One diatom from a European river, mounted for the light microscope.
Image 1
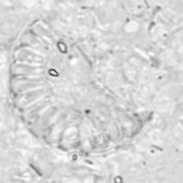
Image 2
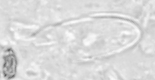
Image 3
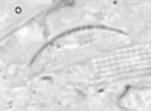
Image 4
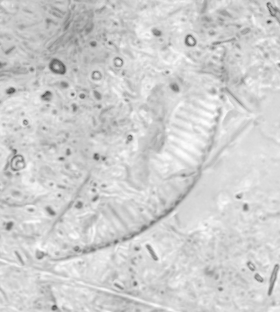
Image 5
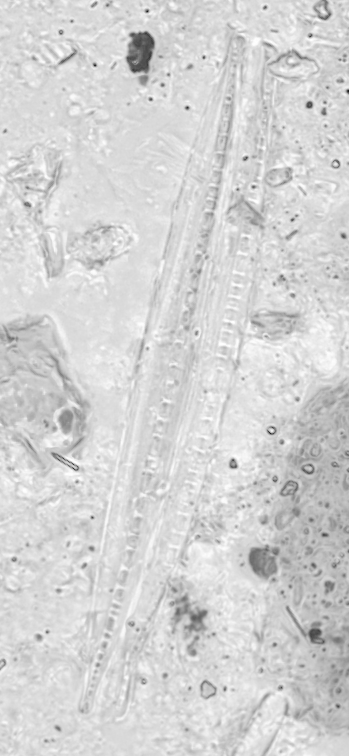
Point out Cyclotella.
That is picture 1.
